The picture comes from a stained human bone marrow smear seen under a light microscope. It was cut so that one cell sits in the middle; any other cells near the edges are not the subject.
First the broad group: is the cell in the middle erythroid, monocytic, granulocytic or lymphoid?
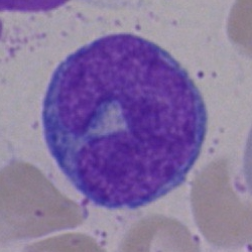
monocytic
